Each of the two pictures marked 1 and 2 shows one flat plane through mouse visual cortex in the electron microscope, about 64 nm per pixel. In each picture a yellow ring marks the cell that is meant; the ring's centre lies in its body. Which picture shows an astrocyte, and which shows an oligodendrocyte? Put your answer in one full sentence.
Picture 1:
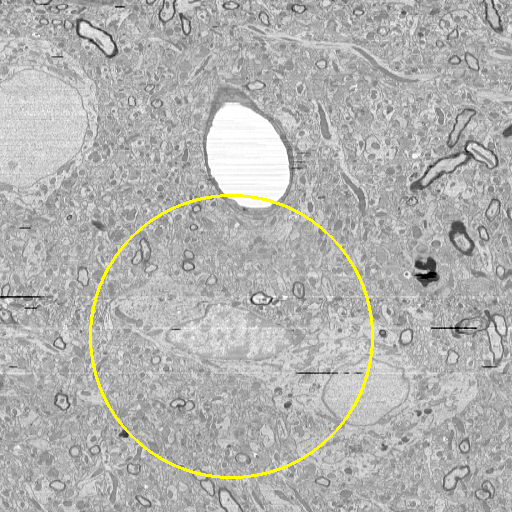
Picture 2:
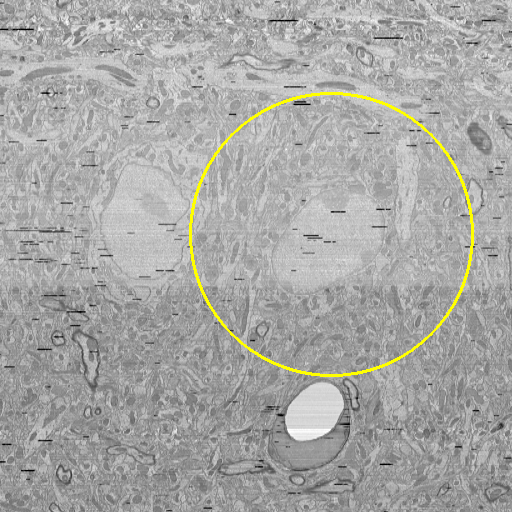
In picture 1 the cell is an oligodendrocyte; in picture 2, an astrocyte.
